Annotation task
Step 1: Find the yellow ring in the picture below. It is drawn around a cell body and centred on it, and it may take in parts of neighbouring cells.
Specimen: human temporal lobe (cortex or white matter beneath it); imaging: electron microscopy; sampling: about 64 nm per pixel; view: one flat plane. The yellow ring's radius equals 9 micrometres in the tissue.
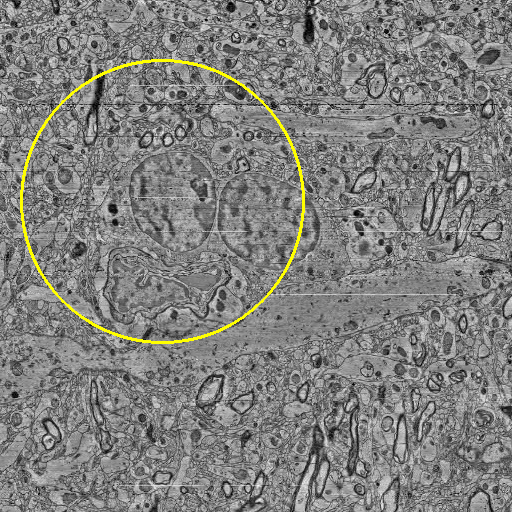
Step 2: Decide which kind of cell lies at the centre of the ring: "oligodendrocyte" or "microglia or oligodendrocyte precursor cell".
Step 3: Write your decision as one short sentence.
The kind of cell at the ring's centre is an oligodendrocyte.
